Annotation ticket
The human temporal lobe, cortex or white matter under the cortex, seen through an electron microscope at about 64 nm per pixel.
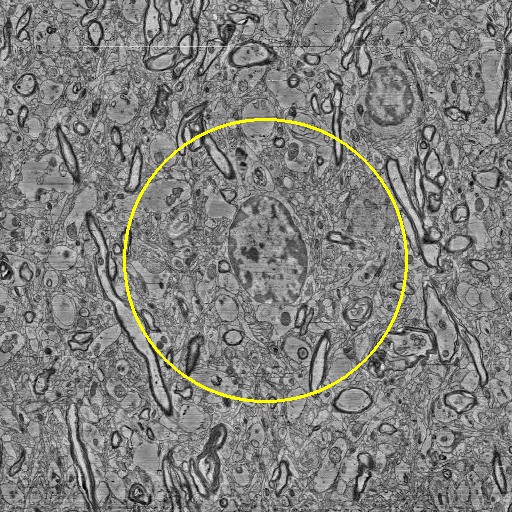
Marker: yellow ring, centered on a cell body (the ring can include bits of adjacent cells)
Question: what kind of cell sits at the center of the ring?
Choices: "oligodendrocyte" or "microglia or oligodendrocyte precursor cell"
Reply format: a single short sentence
The ring is centered on a microglial cell or oligodendrocyte precursor cell.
